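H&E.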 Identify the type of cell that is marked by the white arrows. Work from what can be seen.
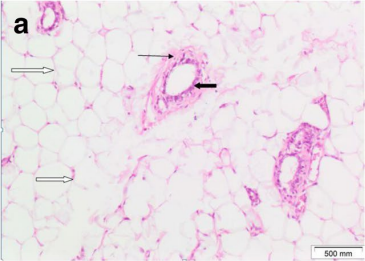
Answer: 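Fat cells. Large empty polygonal spaces with thin pink borders fill the field. Walls meet in a honeycomb pattern without visible cytoplasm.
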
